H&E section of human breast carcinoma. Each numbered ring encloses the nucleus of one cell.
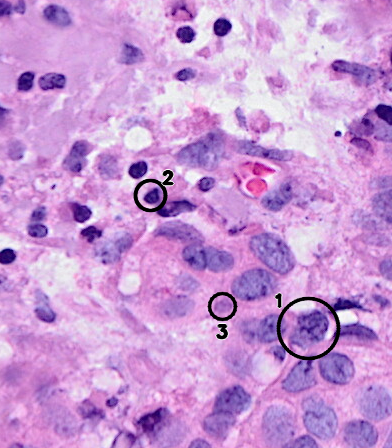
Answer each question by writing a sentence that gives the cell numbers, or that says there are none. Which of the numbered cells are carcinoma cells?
Regarding the numbered cells 1 and 3, these are carcinoma cells.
